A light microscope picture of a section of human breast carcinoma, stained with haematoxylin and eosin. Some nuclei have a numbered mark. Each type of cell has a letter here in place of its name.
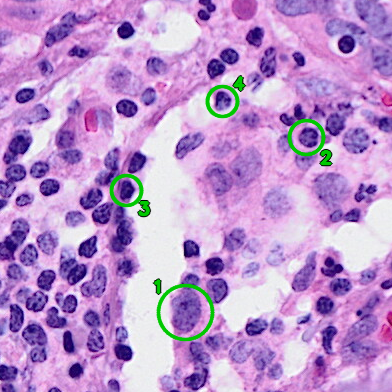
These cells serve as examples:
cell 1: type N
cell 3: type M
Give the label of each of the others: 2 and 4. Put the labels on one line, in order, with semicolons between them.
type M; type M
